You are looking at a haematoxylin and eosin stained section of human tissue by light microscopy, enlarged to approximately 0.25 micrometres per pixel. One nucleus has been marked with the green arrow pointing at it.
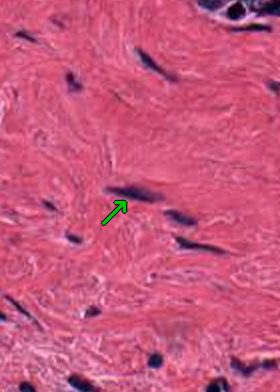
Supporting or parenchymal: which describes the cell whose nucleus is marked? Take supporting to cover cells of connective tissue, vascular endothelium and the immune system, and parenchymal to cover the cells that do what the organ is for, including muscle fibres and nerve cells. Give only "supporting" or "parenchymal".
supporting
